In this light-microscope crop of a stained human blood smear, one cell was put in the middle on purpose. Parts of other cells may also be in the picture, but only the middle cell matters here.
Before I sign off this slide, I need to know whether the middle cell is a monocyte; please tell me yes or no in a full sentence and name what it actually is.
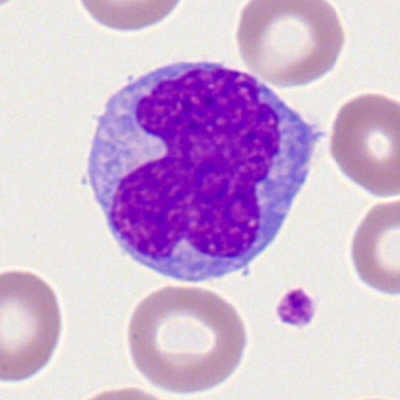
Yes, shown in the middle of the crop is a monocyte.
